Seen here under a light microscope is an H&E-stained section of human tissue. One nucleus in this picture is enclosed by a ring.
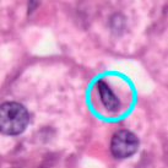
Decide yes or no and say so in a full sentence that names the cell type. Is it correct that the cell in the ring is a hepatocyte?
No, the cell in the ring is a fibroblast or stellate cell rather than a hepatocyte in this section.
